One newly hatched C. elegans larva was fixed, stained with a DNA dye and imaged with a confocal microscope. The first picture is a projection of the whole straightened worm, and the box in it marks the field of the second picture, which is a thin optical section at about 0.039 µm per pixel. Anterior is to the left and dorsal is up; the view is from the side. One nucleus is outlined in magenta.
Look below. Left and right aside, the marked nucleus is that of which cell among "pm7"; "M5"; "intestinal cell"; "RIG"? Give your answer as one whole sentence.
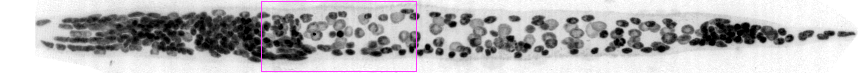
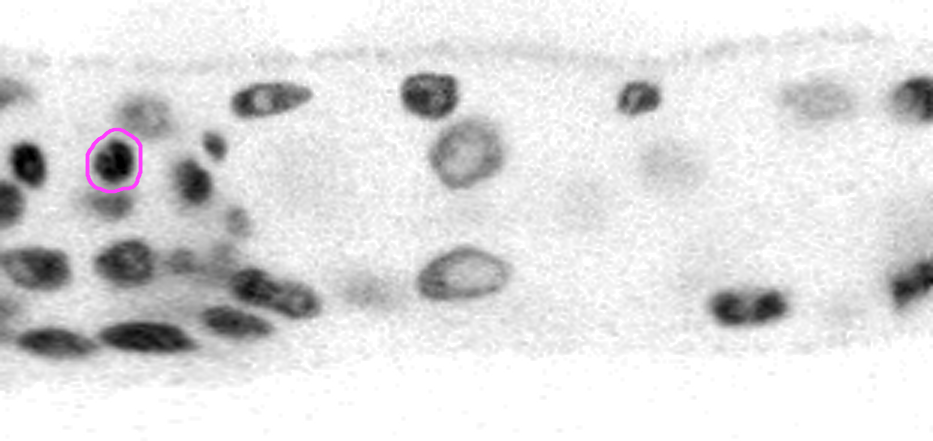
It is the nucleus of M5, a neuron.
